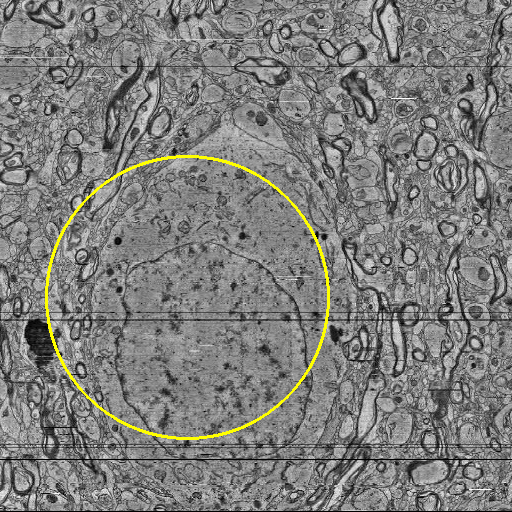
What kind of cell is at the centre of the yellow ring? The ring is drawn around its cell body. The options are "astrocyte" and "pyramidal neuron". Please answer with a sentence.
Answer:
The yellow ring marks the cell body of a pyramidal neuron.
